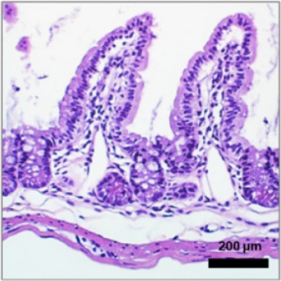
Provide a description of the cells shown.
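This is the lining of the small intestine, with finger-like villi rising from the mucosa and short crypts at their bases. Each villus is covered by a single row of tall columnar epithelial cells with dark purple basal nuclei, interspersed with paler goblet cells, around a loose core of lamina propria. Below the crypts runs a thin submucosa and a pink band of smooth muscle.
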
